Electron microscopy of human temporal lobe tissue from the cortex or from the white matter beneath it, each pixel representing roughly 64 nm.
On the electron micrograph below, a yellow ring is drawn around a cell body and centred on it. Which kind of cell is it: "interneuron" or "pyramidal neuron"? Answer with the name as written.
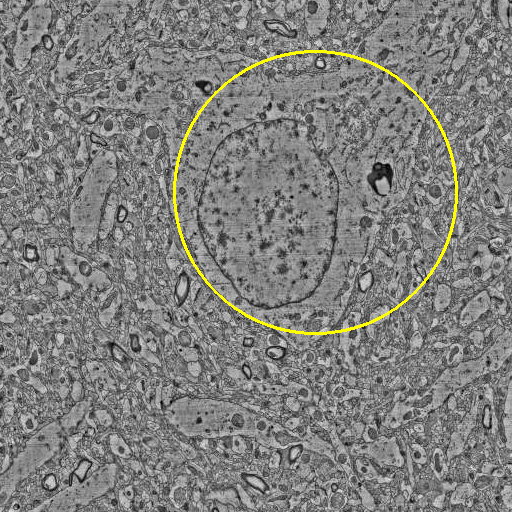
pyramidal neuron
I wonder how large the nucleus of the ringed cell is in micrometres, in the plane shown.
The nucleus is approximately 12 micrometers long by 9 micrometers wide in this plane.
